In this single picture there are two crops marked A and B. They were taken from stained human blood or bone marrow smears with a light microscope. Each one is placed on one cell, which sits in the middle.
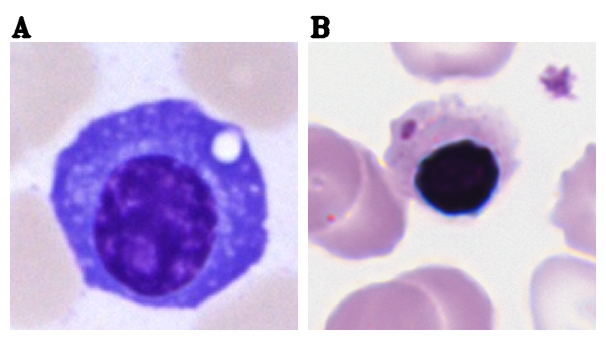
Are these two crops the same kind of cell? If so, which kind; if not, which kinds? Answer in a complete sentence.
No, in crop A there is a plasma cell, and in crop B there is an erythroblast.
